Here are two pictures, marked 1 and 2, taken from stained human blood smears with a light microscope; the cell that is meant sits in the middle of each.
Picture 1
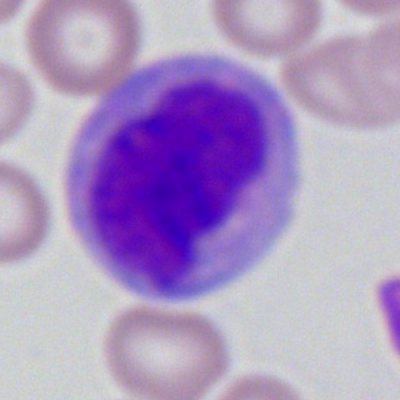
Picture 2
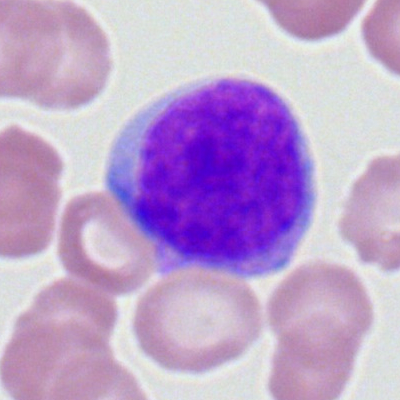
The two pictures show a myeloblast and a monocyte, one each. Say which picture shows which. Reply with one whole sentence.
In picture 1 the cell is a monocyte; in picture 2, a myeloblast.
